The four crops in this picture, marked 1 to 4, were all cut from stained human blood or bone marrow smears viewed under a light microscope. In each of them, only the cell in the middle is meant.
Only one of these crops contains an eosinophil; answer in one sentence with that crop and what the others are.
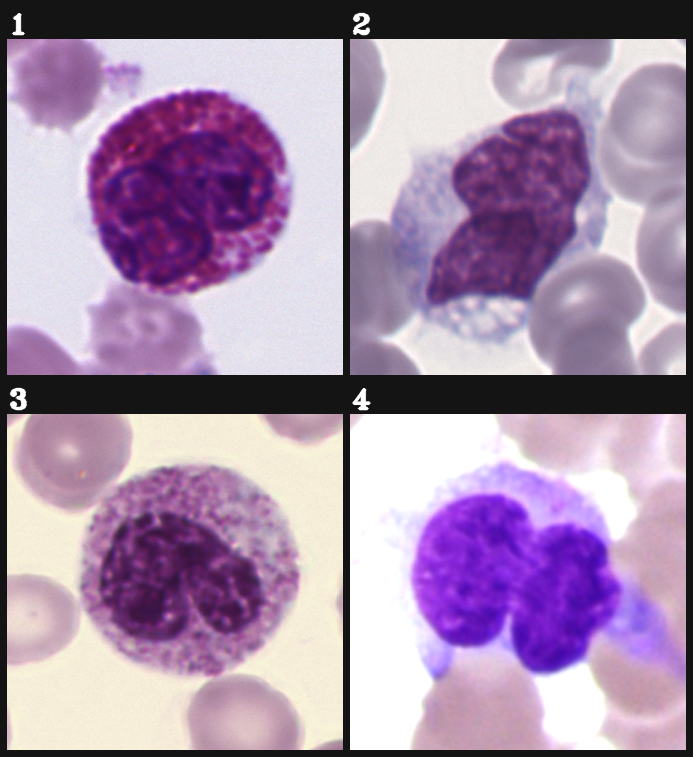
Crop 1 corresponds to an eosinophil, while crop 2 is a monocyte, crop 3 is a band neutrophil and crop 4 is a hairy cell.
